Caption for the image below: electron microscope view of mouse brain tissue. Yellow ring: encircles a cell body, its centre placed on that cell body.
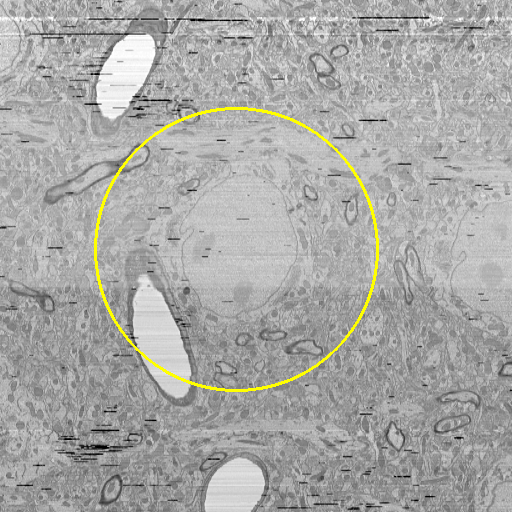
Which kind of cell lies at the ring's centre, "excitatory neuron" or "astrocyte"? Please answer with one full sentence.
The picture shows an excitatory neuron at the centre of the yellow ring.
